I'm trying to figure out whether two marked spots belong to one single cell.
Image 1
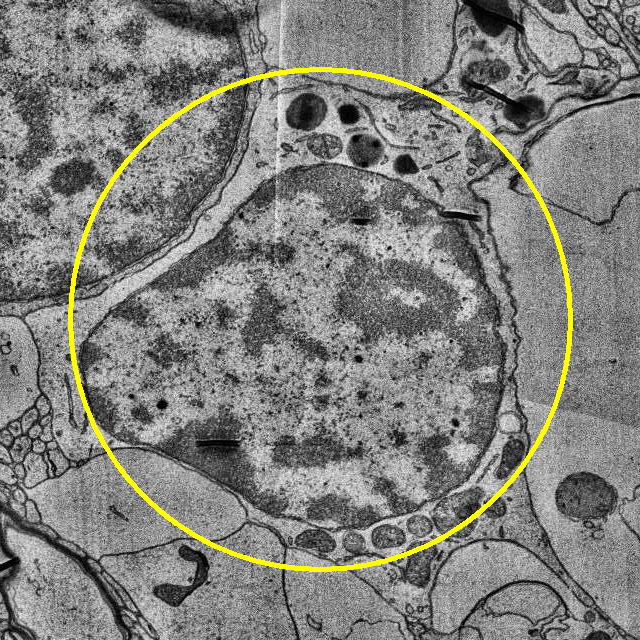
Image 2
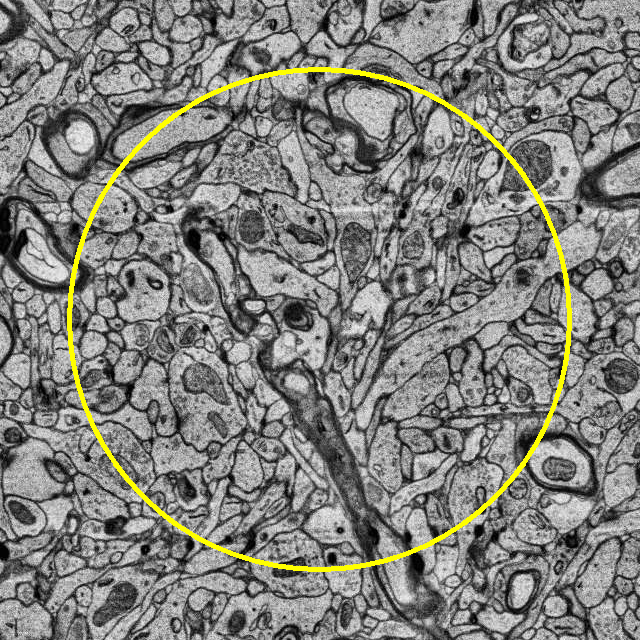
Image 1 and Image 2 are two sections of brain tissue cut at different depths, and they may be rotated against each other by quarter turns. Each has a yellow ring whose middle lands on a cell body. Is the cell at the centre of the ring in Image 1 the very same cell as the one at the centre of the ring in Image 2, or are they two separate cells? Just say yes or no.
yes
